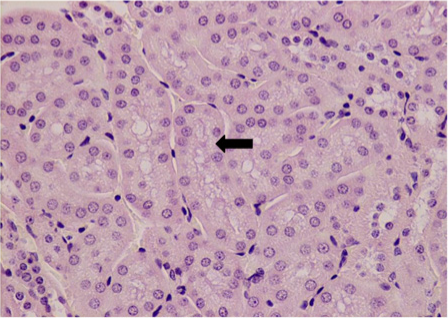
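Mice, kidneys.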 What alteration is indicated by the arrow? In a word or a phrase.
Focal vacuolization.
